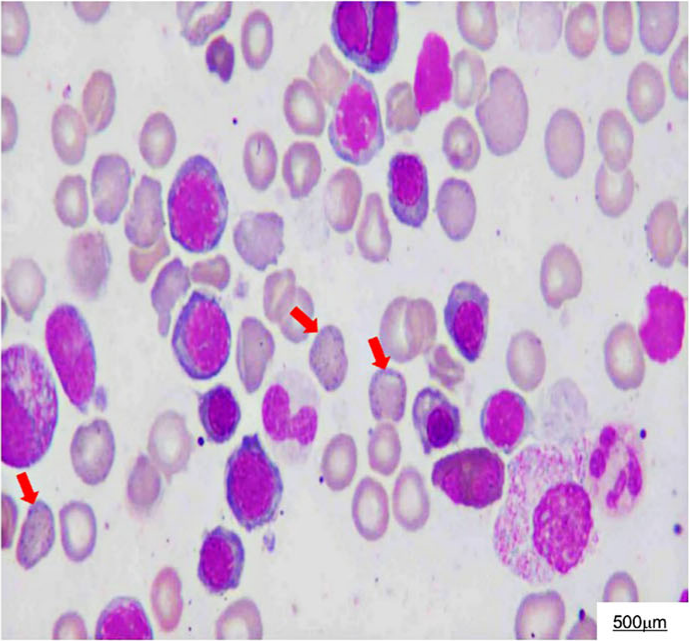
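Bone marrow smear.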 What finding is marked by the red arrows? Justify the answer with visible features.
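The arrowed cells are small anucleate red cells among nucleated marrow cells. The arrowed cells carry fine dark dots scattered through their cytoplasm.
Answer: Basophilic stippling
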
